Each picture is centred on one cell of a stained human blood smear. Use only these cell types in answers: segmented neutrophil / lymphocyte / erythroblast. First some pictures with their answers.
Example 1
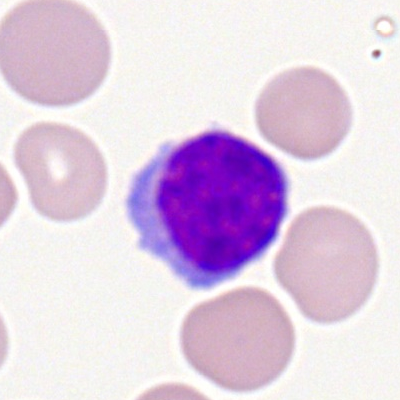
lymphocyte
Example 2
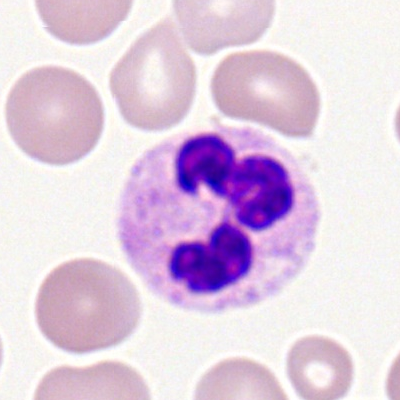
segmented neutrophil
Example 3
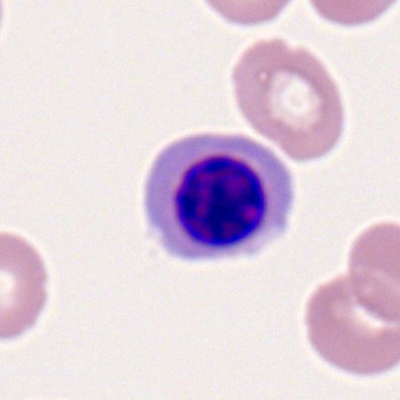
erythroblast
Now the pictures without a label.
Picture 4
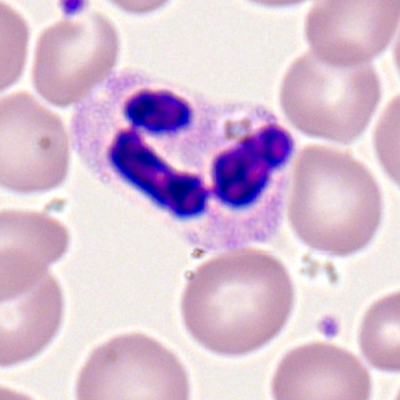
segmented neutrophil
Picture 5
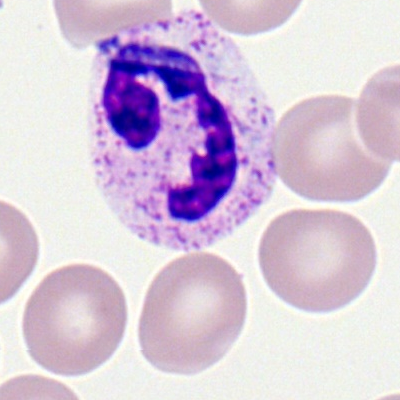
segmented neutrophil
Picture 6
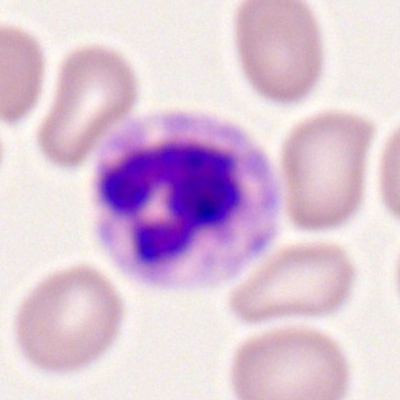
segmented neutrophil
